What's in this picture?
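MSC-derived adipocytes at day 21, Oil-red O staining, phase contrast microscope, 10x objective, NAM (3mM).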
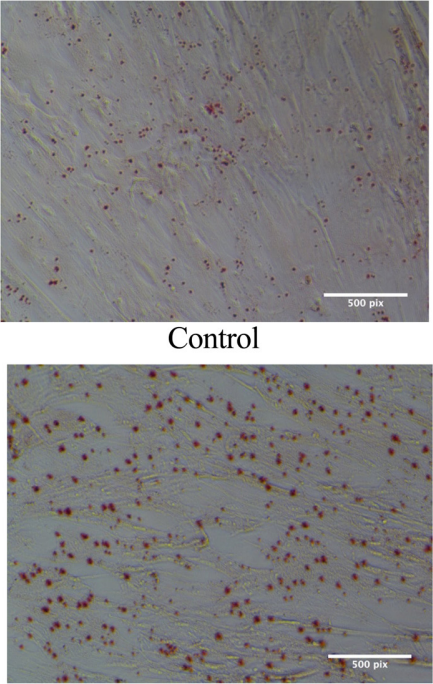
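The background is a dense sheet of long, spindle-shaped, pale grey-green cells lying side by side in roughly parallel streams. Scattered all over this sheet are many small round red droplets, lying within the cytoplasm of the cells. Nuclei are not clearly seen at this magnification; what stands out is how much of the field carries red lipid droplets.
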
